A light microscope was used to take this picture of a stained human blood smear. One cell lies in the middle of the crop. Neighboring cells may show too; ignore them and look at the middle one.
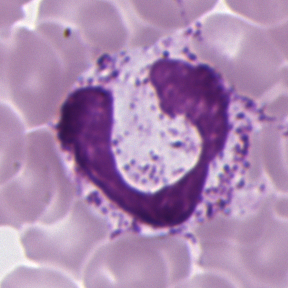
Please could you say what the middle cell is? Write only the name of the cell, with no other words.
segmented neutrophil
